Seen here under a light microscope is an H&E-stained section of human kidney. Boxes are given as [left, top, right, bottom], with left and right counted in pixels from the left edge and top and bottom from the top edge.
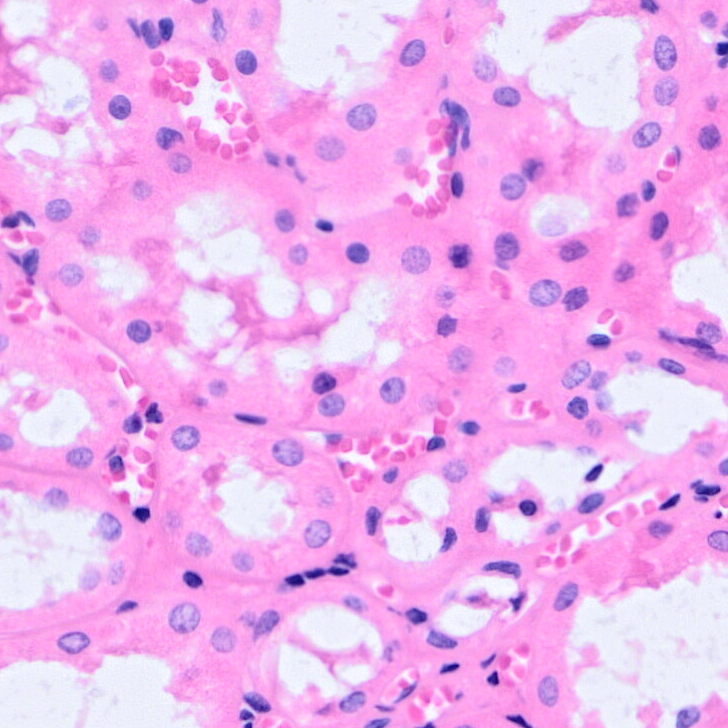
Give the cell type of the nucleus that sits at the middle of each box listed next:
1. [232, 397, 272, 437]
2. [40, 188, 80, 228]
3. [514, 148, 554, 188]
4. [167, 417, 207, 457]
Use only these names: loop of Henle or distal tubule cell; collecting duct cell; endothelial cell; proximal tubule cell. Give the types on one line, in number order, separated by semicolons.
endothelial cell; proximal tubule cell; proximal tubule cell; proximal tubule cell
